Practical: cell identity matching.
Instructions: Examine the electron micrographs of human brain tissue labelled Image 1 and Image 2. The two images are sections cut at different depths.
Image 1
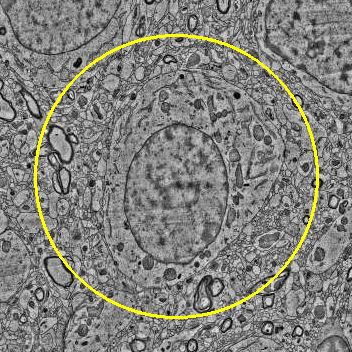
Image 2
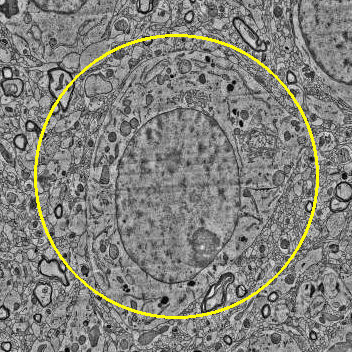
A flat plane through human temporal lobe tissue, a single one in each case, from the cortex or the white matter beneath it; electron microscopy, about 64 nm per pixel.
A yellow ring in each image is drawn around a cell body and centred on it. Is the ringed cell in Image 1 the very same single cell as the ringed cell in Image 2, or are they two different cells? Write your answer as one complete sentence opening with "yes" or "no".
Yes, both circles in yellow pick out the same cell.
